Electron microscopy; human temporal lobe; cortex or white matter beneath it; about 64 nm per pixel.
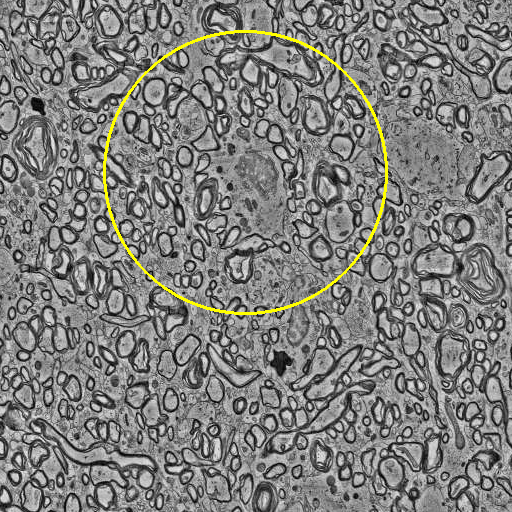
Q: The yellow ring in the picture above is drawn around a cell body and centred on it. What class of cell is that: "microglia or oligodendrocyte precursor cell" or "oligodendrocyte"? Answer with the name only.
oligodendrocyte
